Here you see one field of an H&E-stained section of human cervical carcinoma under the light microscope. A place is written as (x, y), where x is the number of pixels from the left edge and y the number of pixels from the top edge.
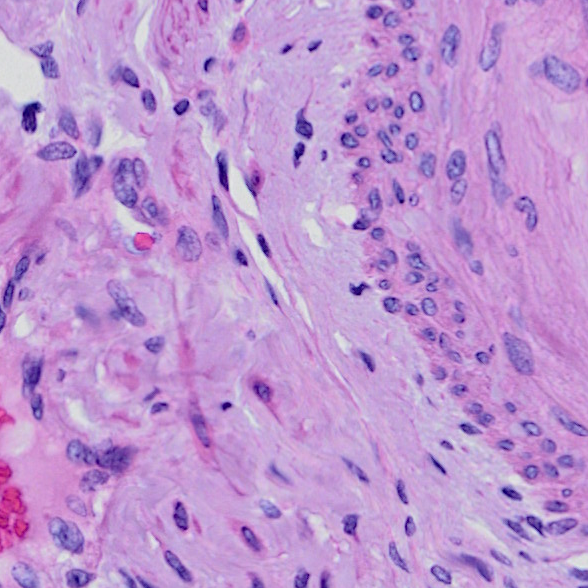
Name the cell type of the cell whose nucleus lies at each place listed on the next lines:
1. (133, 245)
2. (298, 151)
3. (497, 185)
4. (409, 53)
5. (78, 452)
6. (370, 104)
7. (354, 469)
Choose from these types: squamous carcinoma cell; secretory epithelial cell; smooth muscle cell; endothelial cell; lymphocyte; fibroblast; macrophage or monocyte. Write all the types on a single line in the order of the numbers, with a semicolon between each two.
endothelial cell; fibroblast; smooth muscle cell; smooth muscle cell; endothelial cell; smooth muscle cell; fibroblast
